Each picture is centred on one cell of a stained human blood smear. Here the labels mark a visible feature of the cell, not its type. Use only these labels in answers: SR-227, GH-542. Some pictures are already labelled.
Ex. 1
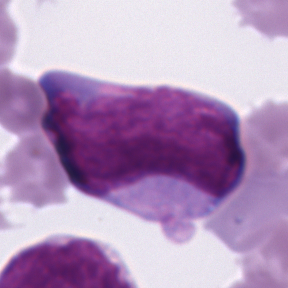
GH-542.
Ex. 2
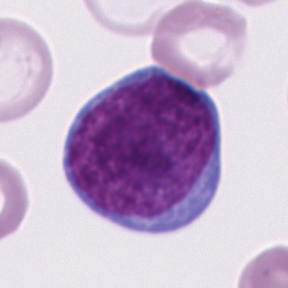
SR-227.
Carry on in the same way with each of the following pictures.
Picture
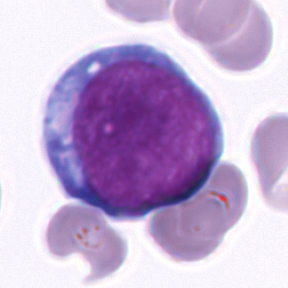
SR-227.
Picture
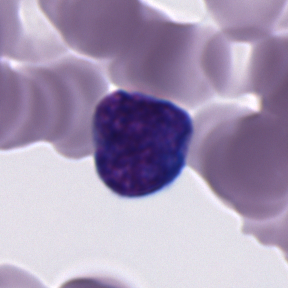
SR-227.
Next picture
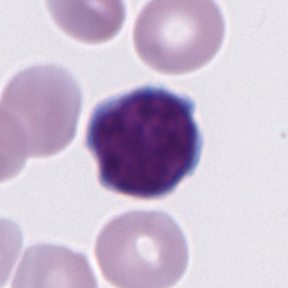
GH-542.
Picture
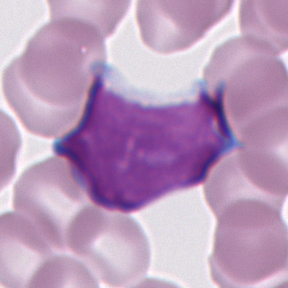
GH-542.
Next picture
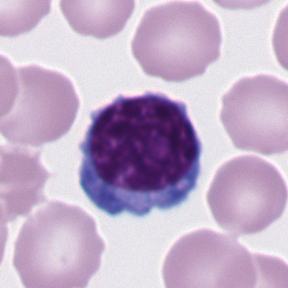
GH-542.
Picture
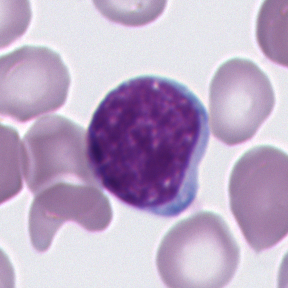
SR-227.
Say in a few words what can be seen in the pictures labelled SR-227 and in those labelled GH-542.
Seen in SR-227: smooth outline; seen in GH-542: ragged outline or projections.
